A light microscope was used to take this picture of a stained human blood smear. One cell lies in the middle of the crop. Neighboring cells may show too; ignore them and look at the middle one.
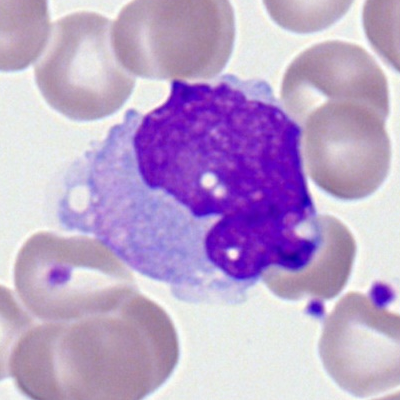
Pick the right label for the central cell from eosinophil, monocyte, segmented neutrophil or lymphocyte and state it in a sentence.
The middle position in this crop is taken by a monocyte.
